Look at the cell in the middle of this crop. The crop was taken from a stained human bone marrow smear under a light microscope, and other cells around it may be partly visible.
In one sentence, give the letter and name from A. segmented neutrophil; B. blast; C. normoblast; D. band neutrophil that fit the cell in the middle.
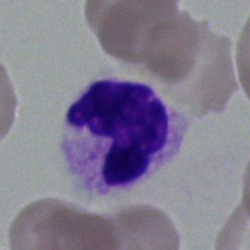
Located in the middle of the crop is a segmented neutrophil, and option A is therefore correct.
